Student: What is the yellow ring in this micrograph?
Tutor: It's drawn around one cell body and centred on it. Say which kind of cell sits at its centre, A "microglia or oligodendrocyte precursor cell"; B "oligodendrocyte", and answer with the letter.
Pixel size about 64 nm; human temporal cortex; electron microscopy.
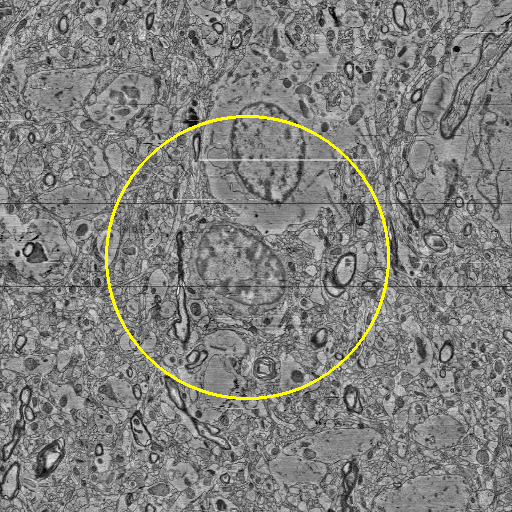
B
